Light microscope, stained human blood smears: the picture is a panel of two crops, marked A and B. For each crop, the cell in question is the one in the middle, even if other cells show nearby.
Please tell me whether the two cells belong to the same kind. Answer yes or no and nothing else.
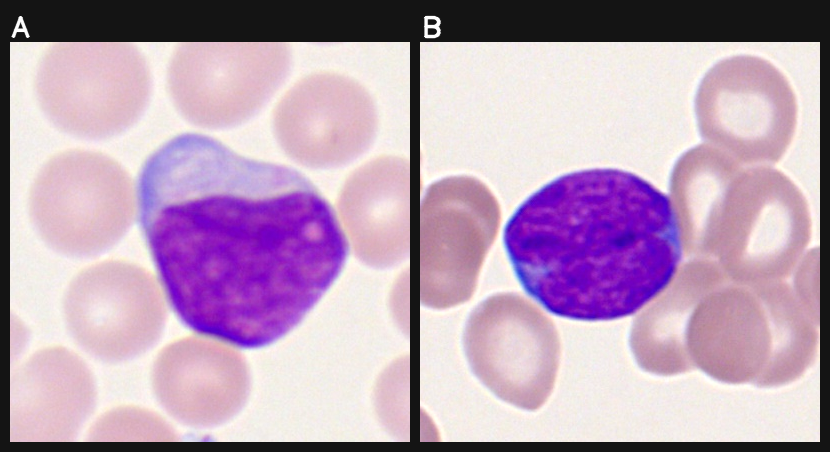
yes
